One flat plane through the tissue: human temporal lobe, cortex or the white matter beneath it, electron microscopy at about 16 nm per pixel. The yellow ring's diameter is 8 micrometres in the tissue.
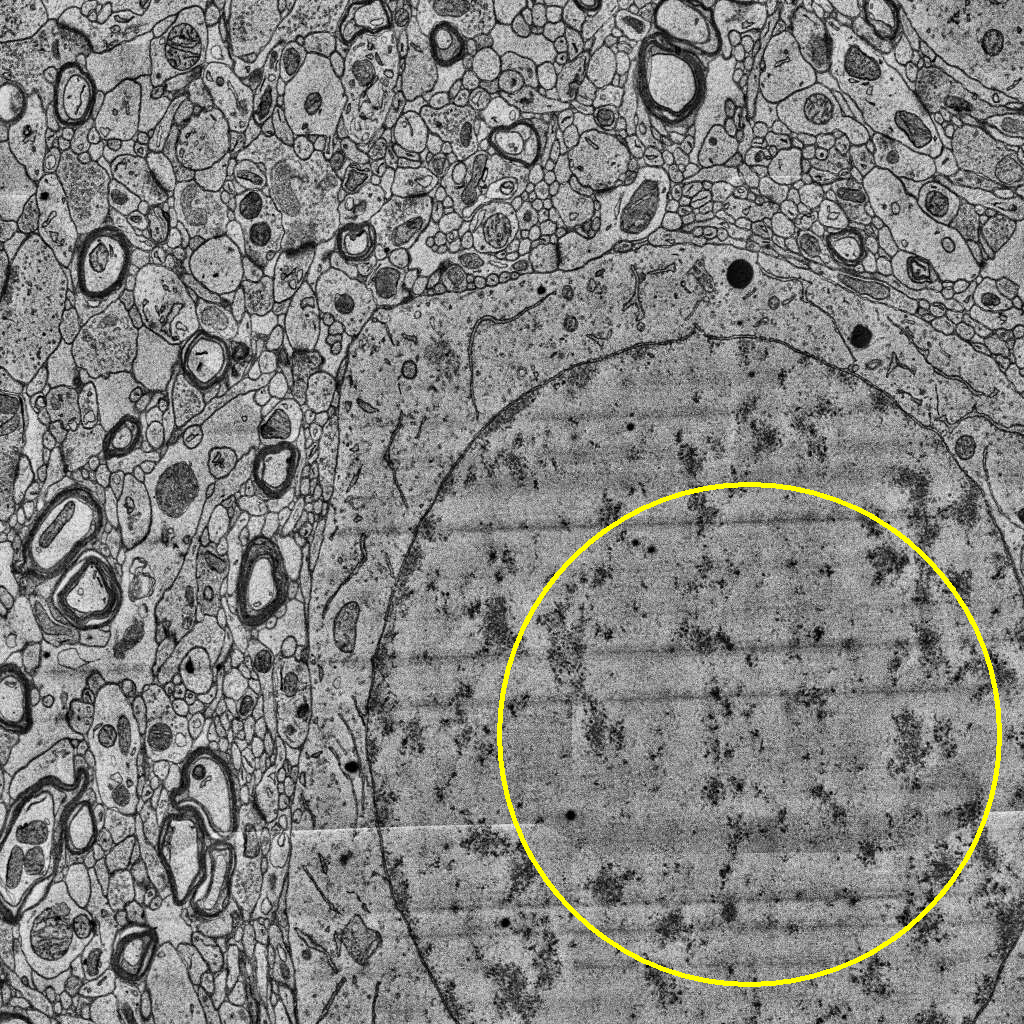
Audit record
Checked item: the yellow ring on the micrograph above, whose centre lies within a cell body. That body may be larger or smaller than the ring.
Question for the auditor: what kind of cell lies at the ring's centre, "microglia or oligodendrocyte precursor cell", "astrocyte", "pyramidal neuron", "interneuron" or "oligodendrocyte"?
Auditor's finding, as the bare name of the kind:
pyramidal neuron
